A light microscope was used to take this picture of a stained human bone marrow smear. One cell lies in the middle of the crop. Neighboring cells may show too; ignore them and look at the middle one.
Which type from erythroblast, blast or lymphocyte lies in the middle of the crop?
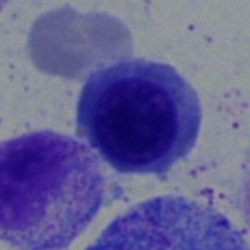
erythroblast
